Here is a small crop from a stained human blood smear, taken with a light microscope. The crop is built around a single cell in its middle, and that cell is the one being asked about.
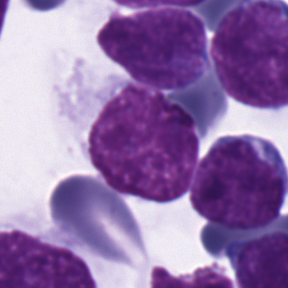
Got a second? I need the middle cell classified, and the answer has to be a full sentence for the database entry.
This crop's central cell is a myeloblast.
